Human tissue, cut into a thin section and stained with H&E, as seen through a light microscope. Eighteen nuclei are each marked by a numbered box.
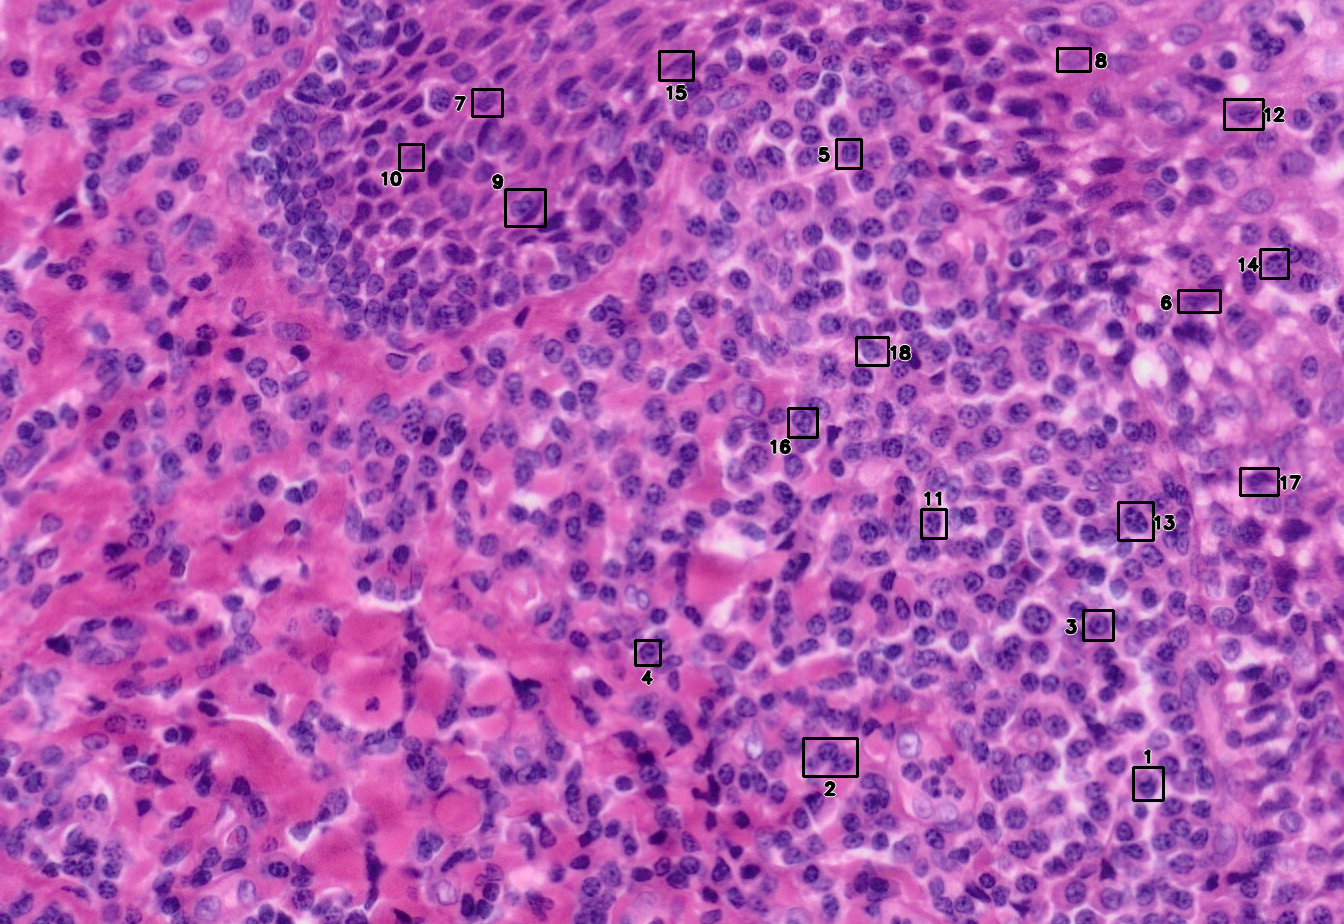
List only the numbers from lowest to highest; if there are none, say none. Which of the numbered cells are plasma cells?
1, 2, 3, 4, 5, 11, 13, 14, 16, 18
